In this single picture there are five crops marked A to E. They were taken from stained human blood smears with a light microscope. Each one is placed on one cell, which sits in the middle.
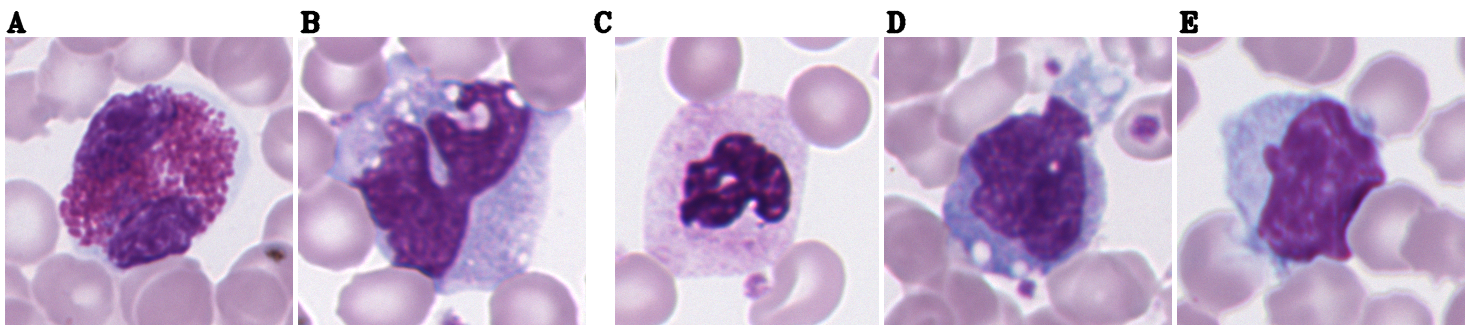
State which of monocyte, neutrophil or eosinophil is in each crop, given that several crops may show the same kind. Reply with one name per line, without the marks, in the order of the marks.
eosinophil
monocyte
neutrophil
monocyte
monocyte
